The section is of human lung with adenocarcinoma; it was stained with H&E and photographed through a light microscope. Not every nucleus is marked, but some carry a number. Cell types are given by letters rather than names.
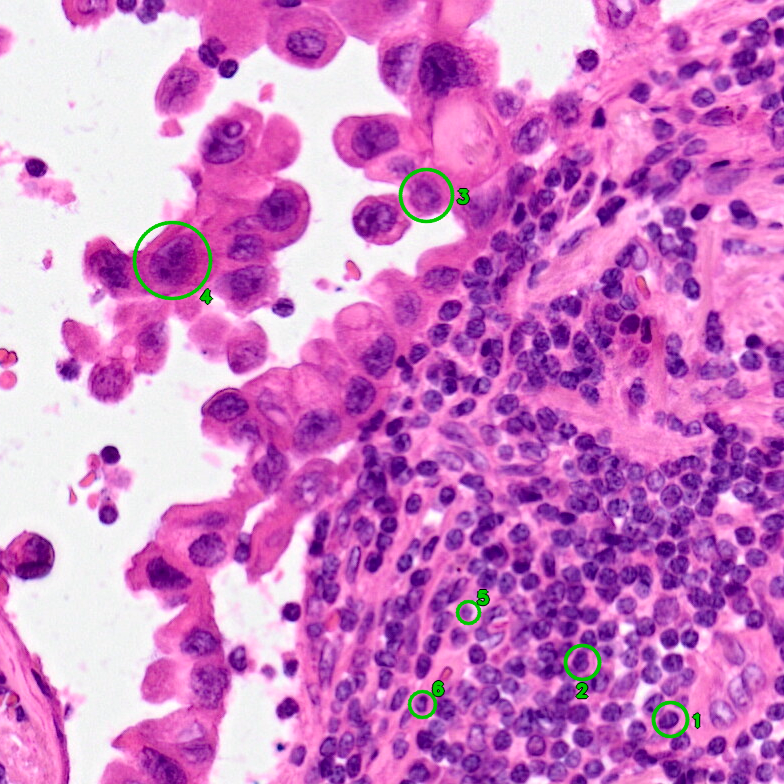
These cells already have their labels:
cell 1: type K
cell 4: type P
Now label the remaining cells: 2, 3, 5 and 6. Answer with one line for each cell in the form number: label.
2: type K
3: type P
5: type K
6: type K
